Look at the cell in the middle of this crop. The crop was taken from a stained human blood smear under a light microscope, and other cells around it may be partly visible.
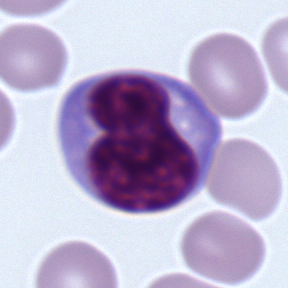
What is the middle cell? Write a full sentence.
The cell shown in the center of this light-microscope crop is a large granular lymphocyte.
